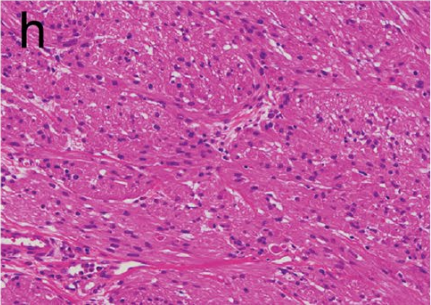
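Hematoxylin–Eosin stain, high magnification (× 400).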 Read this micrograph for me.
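The cells carry plentiful pink cytoplasm that looks finely granular, and their nuclei are small, dark and fairly uniform in size and shape. The cells lie in loose sheets and nests separated by thin pink strands, without obvious nuclear crowding or marked atypia.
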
